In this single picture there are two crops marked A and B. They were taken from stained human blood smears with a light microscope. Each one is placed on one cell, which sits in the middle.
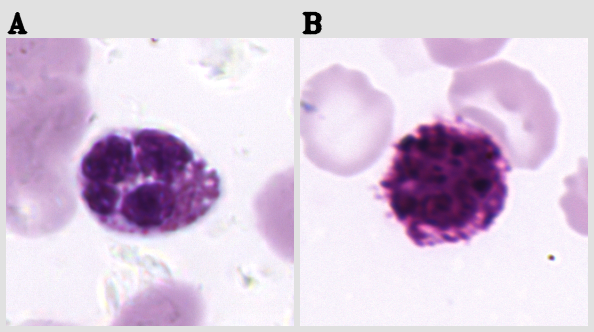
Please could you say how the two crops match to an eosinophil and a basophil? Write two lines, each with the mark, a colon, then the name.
A: eosinophil
B: basophil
